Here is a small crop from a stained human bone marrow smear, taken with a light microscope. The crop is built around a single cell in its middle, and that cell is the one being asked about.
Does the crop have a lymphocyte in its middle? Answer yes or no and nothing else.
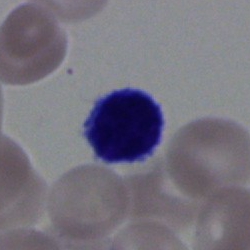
yes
